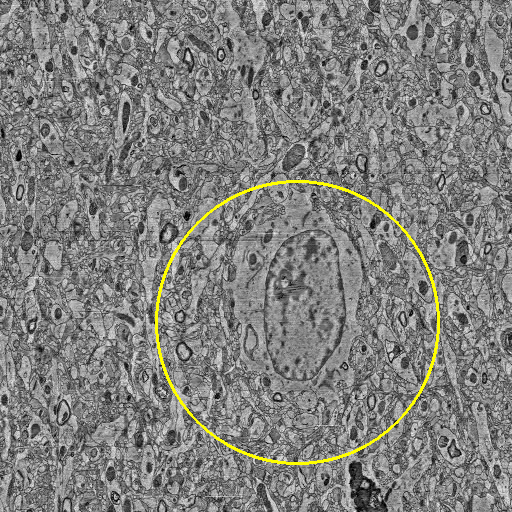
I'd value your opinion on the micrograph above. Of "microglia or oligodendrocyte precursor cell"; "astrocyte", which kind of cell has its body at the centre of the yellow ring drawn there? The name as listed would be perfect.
astrocyte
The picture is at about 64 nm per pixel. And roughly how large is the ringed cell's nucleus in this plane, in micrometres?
The ringed cell's nucleus is roughly 10 by 5 micrometres and clearly longer than it is wide in this plane.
